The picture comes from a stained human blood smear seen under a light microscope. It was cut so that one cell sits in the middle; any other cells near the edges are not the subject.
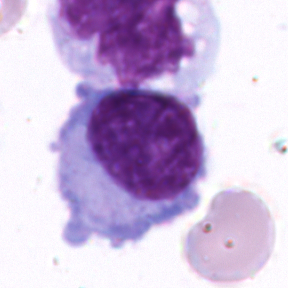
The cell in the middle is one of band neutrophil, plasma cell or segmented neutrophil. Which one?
plasma cell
